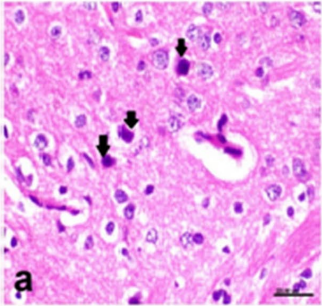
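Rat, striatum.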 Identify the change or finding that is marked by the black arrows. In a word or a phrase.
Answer: Neuronal necrosis.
